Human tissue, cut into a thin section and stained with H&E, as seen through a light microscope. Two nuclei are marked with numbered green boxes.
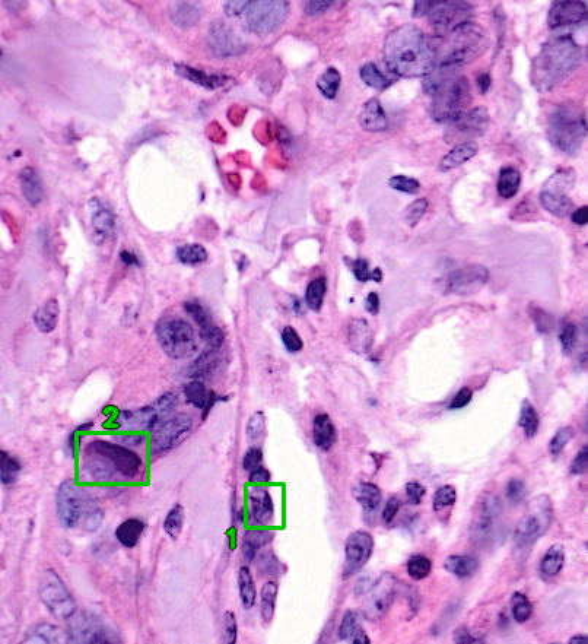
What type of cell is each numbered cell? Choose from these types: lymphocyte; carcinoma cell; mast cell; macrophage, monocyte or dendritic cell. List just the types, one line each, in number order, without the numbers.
lymphocyte
carcinoma cell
